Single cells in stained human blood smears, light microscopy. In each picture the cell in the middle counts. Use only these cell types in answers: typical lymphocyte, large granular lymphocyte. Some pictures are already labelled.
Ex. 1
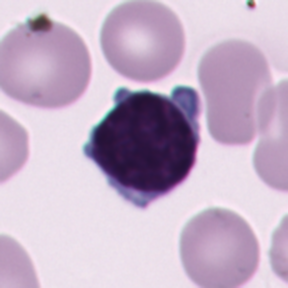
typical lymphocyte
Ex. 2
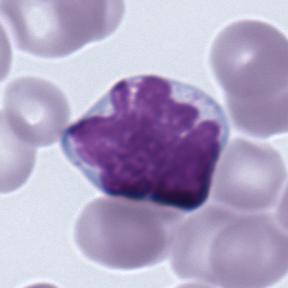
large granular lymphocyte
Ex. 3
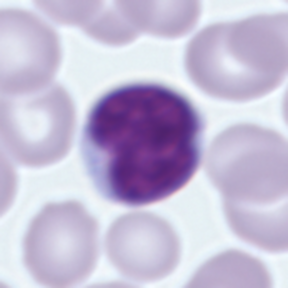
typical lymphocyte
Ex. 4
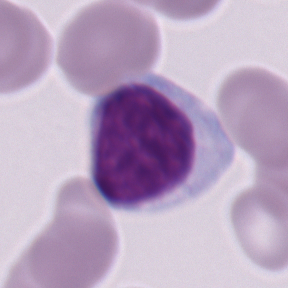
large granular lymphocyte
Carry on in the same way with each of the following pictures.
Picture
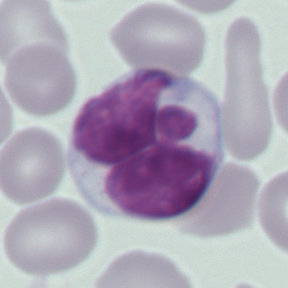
large granular lymphocyte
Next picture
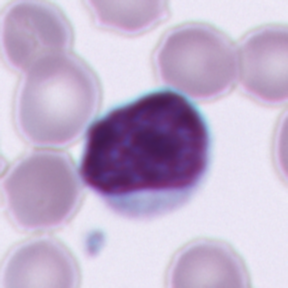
typical lymphocyte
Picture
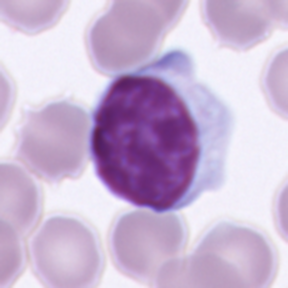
typical lymphocyte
